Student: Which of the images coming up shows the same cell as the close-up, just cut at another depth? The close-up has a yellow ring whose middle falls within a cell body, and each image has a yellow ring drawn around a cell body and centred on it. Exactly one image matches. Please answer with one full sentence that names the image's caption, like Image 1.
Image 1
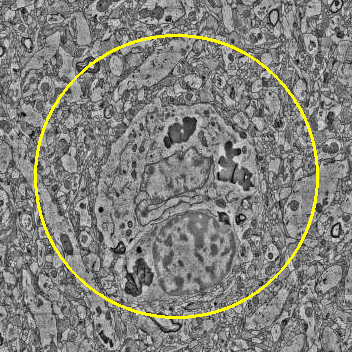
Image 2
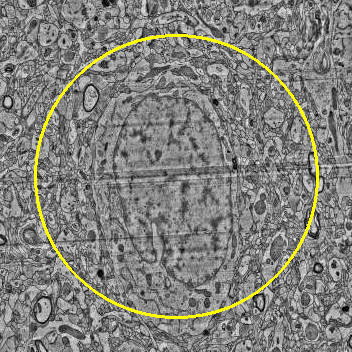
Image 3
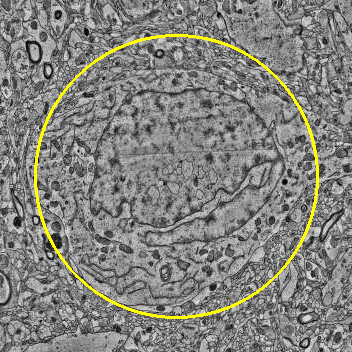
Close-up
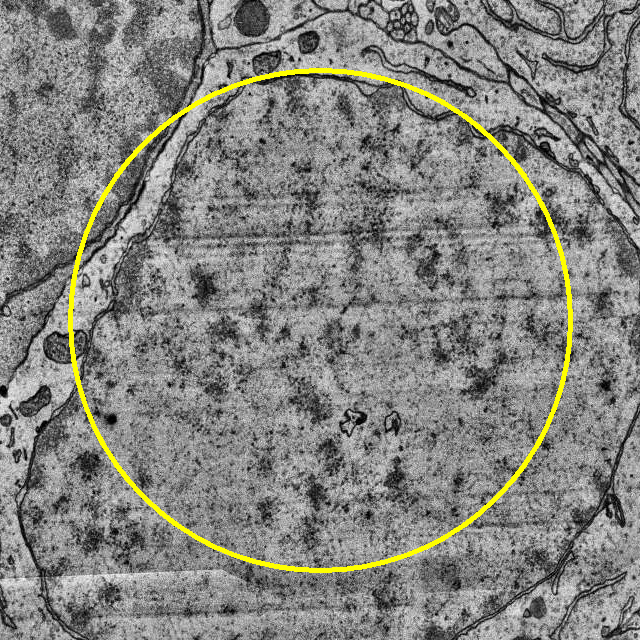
The close-up image matches the cell inside the ring of Image 3.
